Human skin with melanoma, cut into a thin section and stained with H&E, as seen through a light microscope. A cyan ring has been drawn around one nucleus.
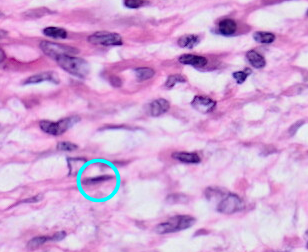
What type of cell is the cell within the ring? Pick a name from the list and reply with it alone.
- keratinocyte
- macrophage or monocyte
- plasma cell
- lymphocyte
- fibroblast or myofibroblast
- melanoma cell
fibroblast or myofibroblast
